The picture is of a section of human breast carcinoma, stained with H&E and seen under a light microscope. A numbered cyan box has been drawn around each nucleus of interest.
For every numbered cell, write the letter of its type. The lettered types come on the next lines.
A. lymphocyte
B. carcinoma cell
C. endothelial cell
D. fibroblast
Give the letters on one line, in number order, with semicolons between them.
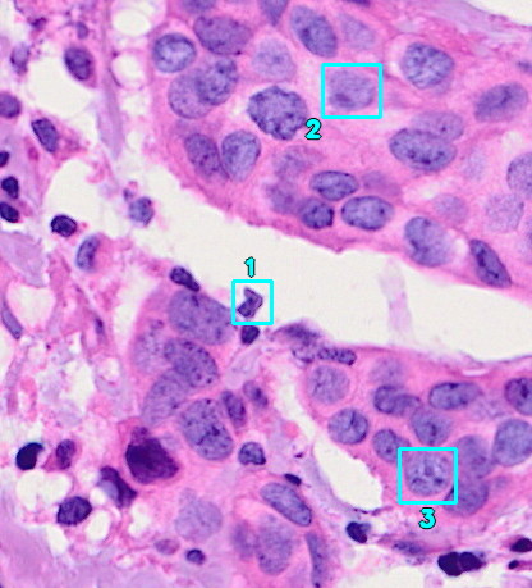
A; B; B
